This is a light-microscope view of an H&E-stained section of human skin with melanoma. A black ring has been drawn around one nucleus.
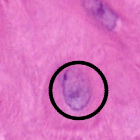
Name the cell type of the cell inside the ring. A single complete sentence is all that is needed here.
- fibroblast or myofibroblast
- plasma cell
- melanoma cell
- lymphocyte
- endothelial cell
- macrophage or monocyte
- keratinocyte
It is as a keratinocyte that the cell inside the ring is classified.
